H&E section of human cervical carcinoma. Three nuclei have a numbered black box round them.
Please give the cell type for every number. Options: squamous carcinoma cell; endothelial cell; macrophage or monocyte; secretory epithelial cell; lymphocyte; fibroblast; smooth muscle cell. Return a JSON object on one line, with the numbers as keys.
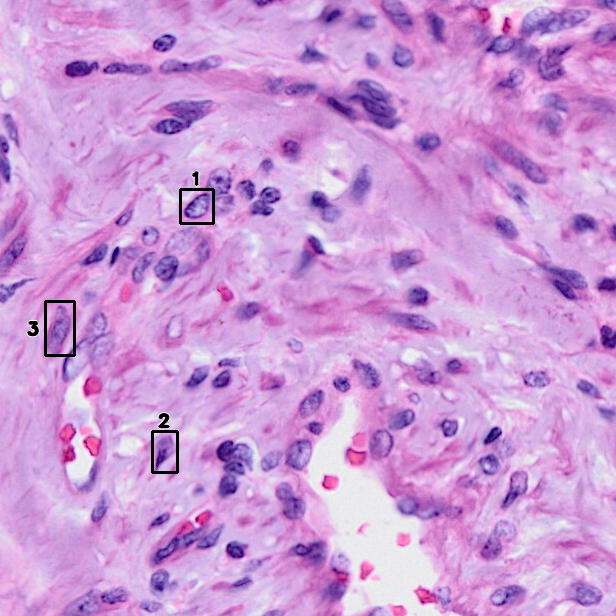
{"1": "endothelial cell", "2": "macrophage or monocyte", "3": "smooth muscle cell"}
